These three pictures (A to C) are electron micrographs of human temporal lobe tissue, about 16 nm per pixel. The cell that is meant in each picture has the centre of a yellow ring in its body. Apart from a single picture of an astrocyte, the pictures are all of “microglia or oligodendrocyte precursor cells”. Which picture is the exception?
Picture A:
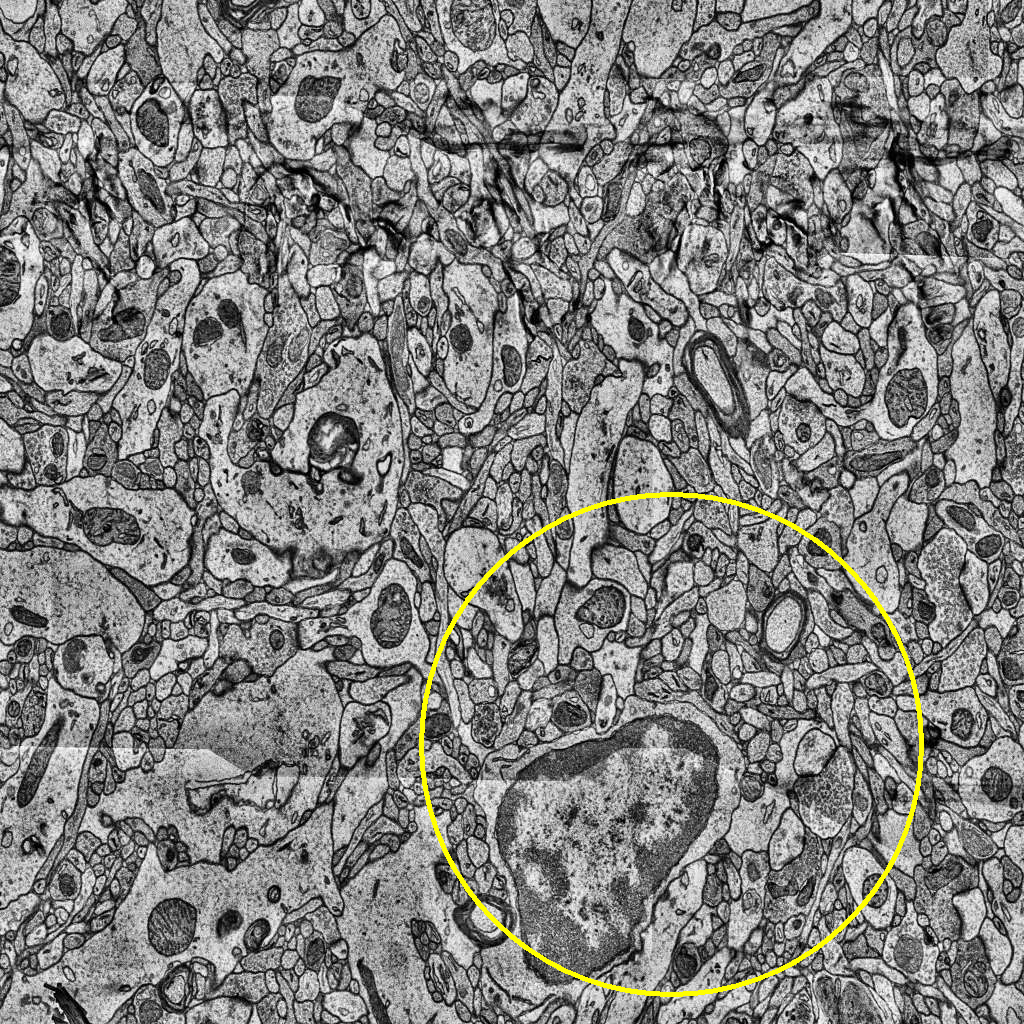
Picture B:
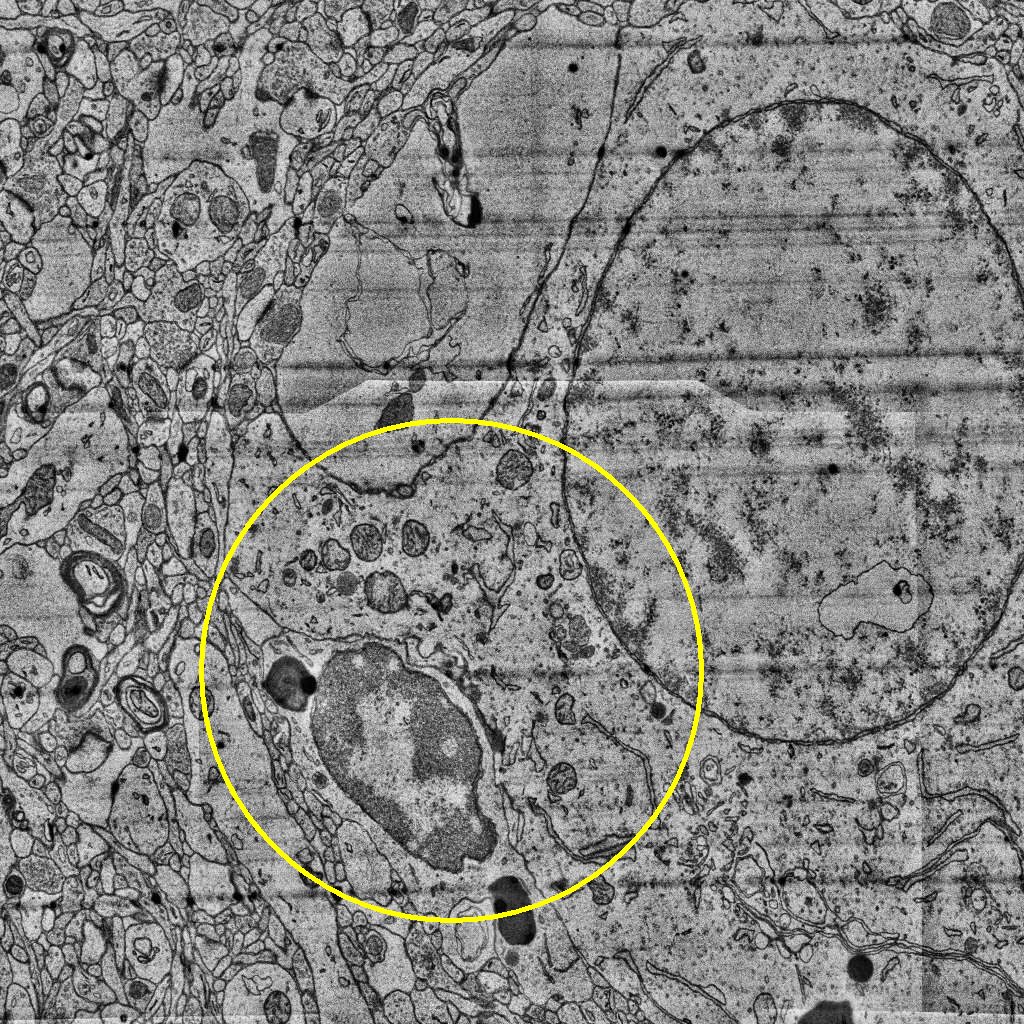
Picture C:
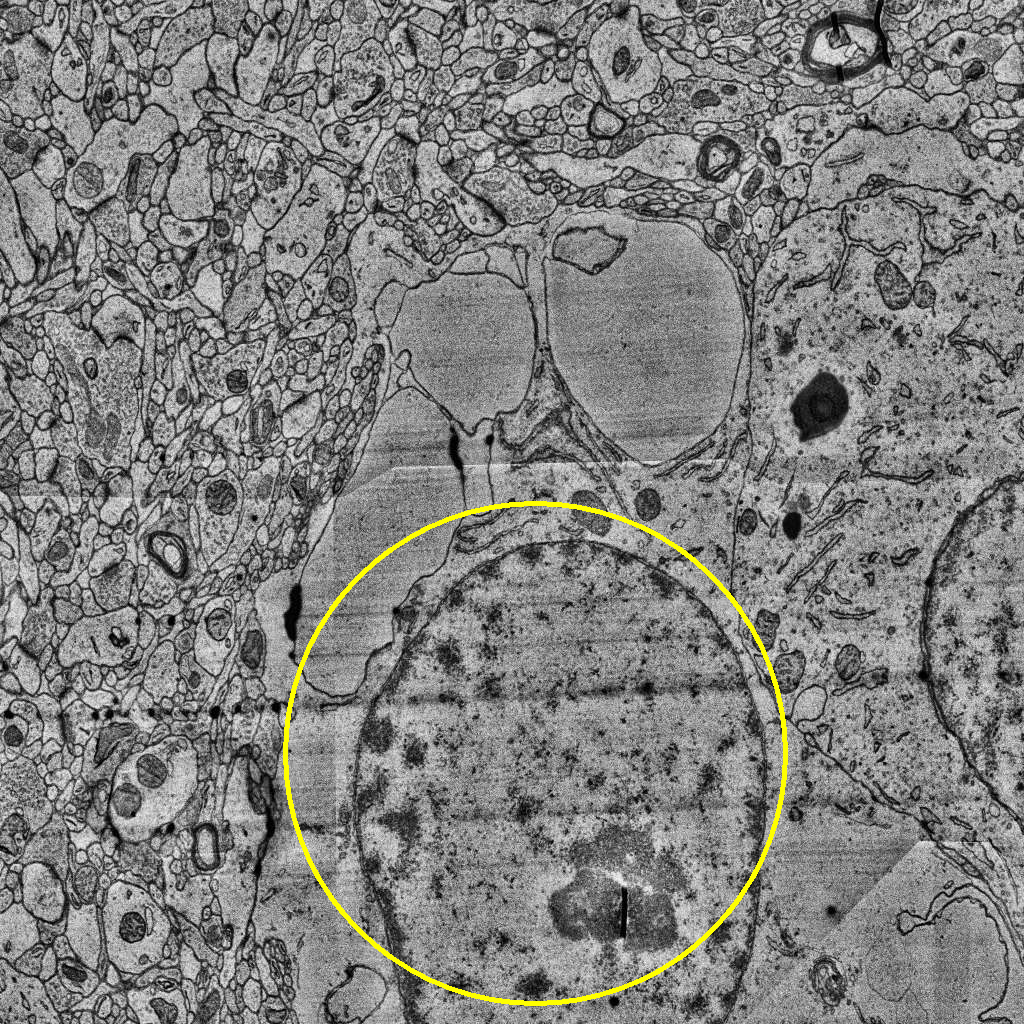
It is picture C that shows the astrocyte.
